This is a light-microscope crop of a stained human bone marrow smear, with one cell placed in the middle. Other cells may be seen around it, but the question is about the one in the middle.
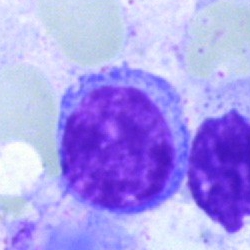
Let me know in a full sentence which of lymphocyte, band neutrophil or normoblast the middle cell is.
The crop's centre is taken up by a lymphocyte.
